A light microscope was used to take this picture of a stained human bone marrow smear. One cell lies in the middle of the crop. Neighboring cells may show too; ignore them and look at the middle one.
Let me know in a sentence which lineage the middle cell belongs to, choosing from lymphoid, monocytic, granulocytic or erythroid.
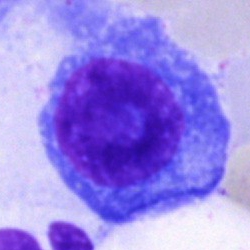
The middle cell of the crop belongs with the cells of the lymphoid lineage.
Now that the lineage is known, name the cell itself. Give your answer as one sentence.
Classification of the middle cell gives a plasma cell.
